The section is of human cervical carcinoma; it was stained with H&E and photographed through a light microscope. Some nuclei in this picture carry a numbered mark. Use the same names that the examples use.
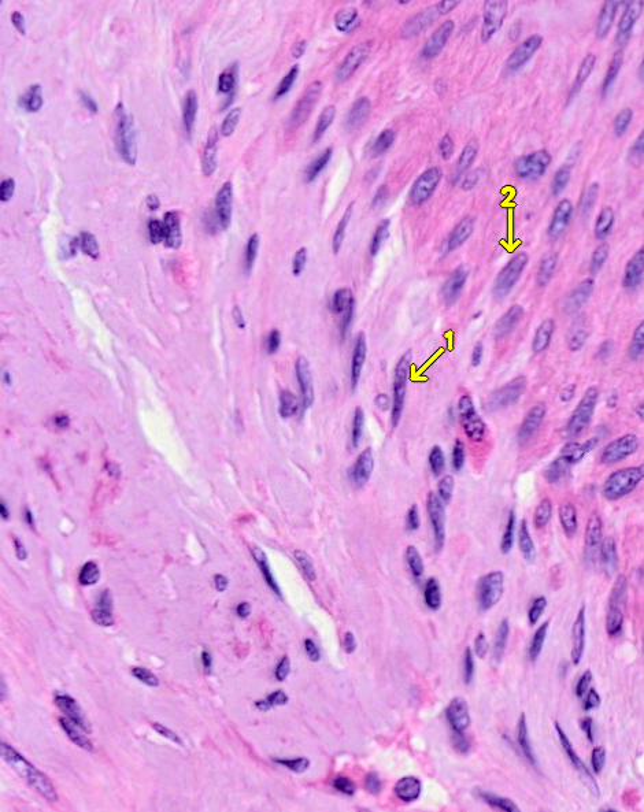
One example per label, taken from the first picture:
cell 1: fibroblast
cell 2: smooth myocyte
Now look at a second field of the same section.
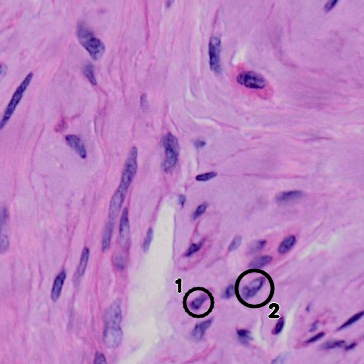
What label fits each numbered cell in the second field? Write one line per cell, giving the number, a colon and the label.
1: smooth myocyte
2: fibroblast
